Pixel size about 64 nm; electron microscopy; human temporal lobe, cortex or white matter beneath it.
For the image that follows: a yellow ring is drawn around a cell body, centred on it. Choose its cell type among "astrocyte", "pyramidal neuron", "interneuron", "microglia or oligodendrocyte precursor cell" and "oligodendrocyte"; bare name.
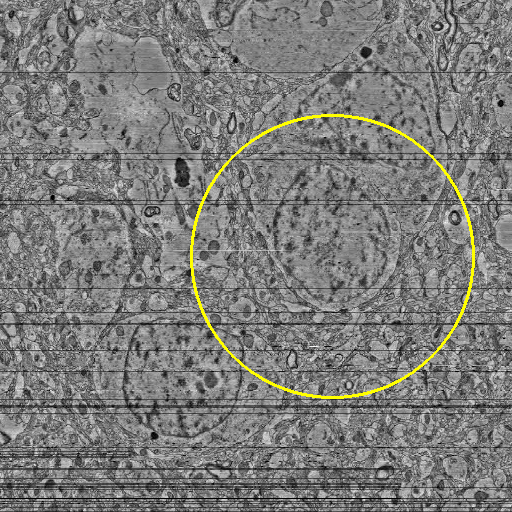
interneuron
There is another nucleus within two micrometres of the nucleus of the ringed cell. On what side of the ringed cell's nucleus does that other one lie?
That other nucleus lies above it.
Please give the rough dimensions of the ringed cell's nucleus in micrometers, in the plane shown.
The nucleus of the ringed cell is approximately 9 by 7 micrometres in this plane.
